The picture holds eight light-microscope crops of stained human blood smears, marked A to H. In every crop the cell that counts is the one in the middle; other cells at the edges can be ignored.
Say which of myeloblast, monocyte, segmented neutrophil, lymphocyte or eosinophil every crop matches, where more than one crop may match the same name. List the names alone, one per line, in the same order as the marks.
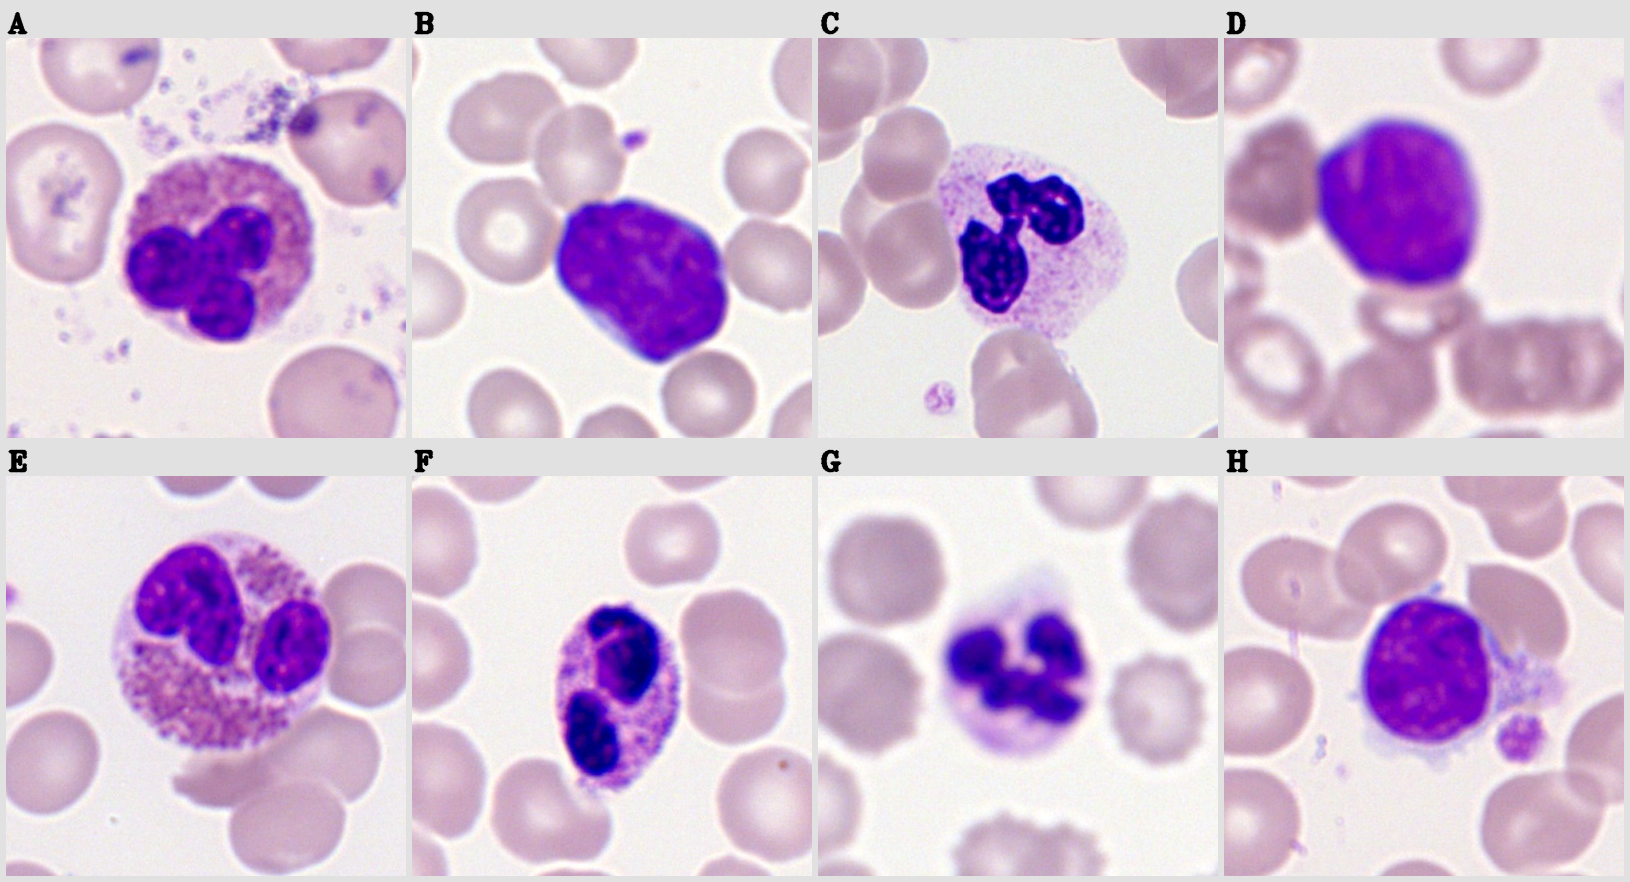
eosinophil
myeloblast
segmented neutrophil
myeloblast
eosinophil
segmented neutrophil
segmented neutrophil
lymphocyte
